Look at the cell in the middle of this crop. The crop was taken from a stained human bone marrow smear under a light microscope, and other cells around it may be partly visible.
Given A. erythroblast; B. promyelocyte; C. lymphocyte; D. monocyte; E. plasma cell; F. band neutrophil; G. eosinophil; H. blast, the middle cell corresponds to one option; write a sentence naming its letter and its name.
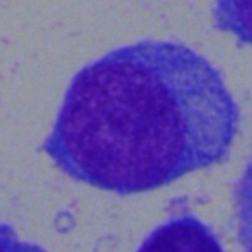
Identification: the cell in the middle is a plasma cell, matching option E.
